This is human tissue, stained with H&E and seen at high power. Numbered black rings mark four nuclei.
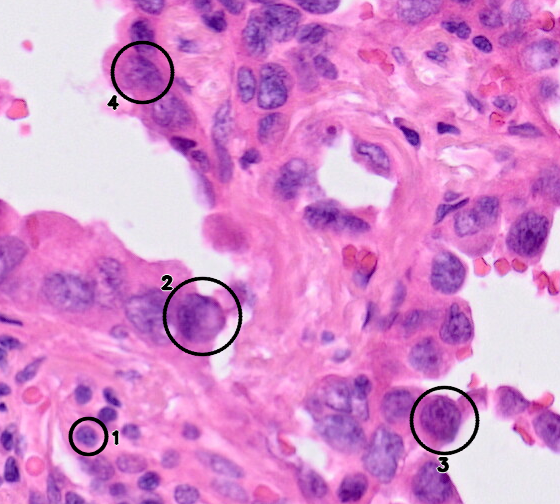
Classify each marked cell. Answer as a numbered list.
1. lymphocyte
2. carcinoma cell
3. carcinoma cell
4. carcinoma cell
